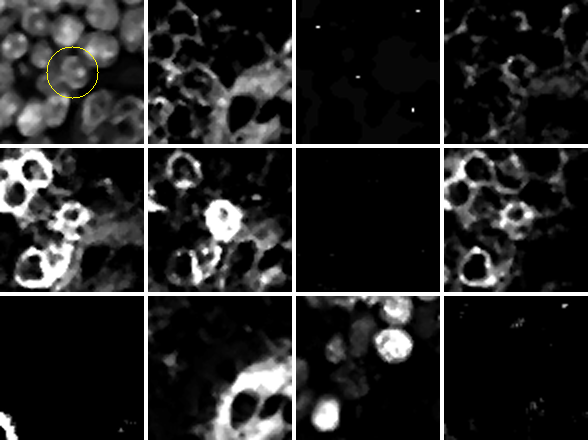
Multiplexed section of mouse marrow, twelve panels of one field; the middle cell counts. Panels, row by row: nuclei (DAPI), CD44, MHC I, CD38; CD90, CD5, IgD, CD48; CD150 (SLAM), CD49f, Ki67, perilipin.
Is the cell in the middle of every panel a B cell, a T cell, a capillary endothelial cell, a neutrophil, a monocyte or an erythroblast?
It is a T cell.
